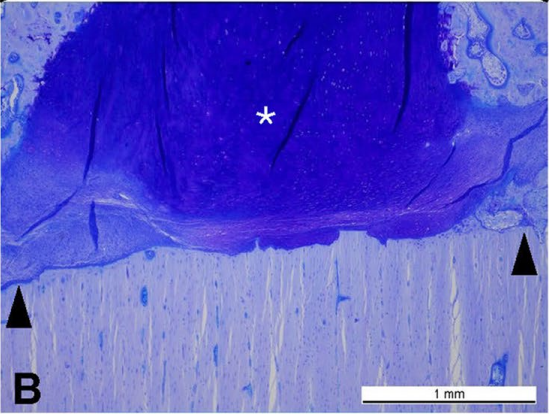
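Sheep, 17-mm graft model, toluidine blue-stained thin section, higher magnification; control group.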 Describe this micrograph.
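This section shows a fracture gap in which a large island of cartilaginous tissue, stained intensely dark purple, sits above pale blue bone. The cartilage matrix looks homogeneous with small scattered lacunae and a few cracks from sectioning. Below it lies pale, regularly arranged lamellar bone with elongated channels running vertically, and the boundary between the two is a fairly sharp line. At the edges, lighter blue bone with small spaces flanks the cartilage island.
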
